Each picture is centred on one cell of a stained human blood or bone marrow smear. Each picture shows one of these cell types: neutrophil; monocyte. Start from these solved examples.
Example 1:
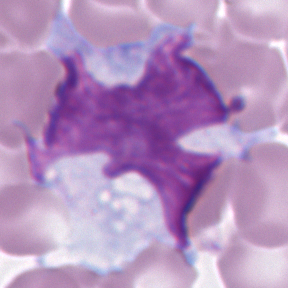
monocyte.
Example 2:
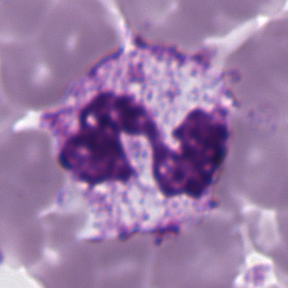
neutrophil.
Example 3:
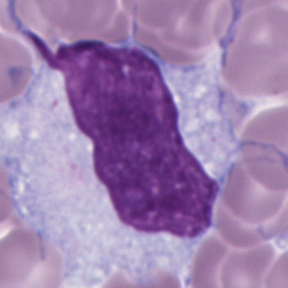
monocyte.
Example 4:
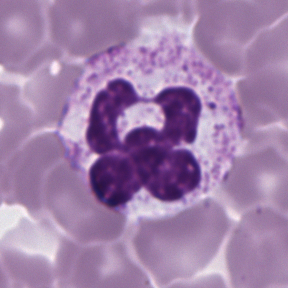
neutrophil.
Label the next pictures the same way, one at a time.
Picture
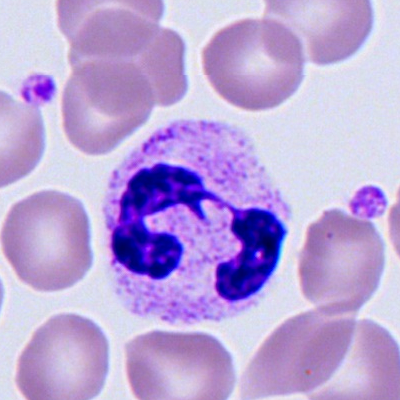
neutrophil.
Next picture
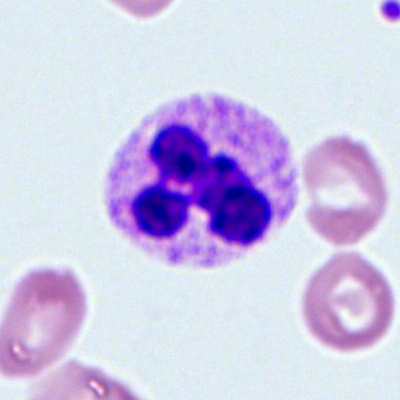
neutrophil.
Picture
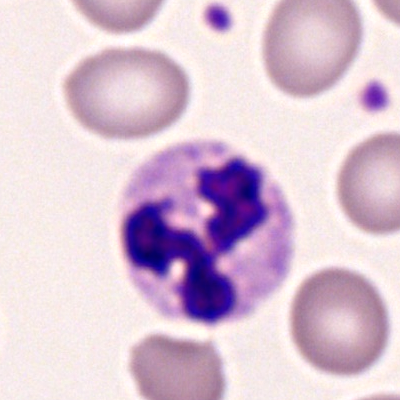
neutrophil.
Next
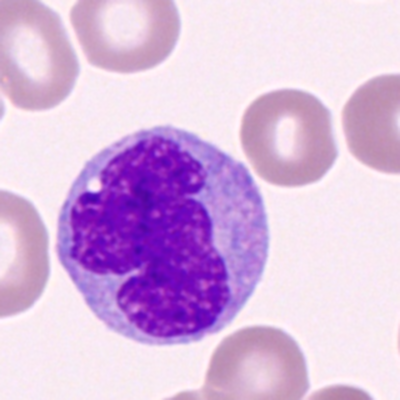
monocyte.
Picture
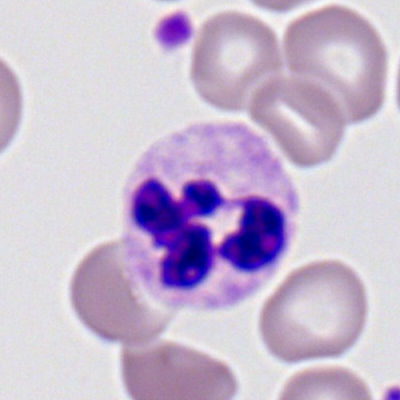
neutrophil.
